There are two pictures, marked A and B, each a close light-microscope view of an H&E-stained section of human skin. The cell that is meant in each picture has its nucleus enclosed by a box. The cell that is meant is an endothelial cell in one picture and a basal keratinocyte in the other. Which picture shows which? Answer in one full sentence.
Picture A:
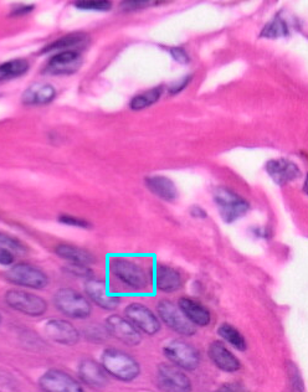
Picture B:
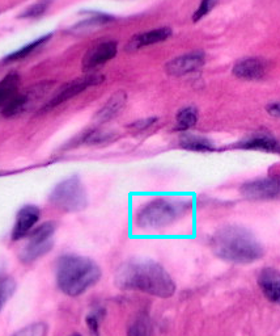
Picture B shows an endothelial cell, while picture A shows a basal keratinocyte.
